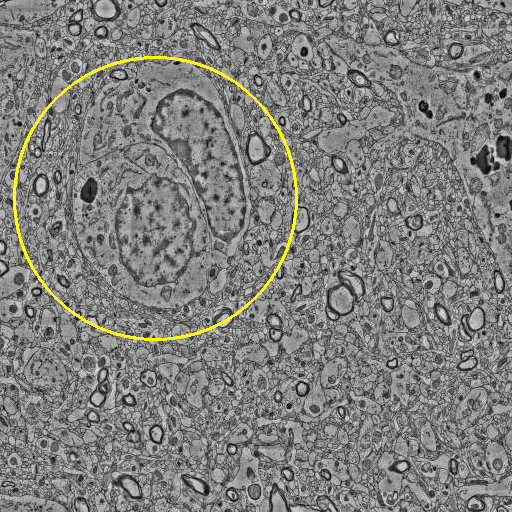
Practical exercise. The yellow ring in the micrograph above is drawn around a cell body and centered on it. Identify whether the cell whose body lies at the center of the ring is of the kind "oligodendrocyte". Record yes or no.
no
